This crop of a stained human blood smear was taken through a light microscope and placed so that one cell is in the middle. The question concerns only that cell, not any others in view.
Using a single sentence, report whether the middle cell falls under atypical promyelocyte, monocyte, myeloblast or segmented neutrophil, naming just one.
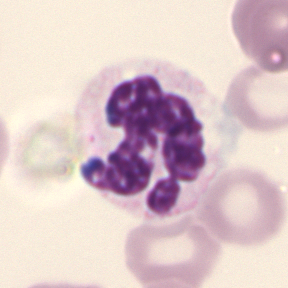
The cell in the middle of the field of view is a segmented neutrophil.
